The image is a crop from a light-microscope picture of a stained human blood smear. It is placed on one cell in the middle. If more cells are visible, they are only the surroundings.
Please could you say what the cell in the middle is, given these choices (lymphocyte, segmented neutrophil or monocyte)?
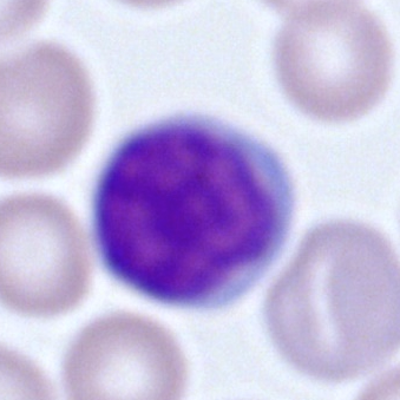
lymphocyte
